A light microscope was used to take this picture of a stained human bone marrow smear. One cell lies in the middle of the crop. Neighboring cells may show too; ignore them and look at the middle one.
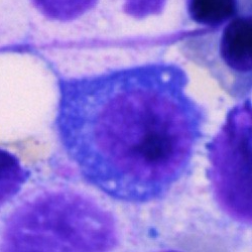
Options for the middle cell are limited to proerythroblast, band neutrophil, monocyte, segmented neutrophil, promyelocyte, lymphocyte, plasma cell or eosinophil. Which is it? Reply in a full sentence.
What the crop centres on is a plasma cell.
